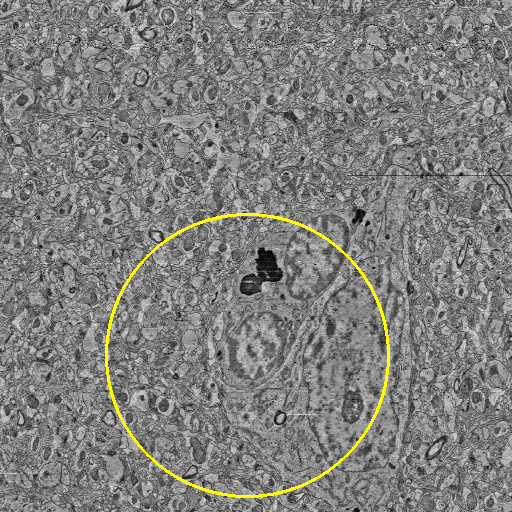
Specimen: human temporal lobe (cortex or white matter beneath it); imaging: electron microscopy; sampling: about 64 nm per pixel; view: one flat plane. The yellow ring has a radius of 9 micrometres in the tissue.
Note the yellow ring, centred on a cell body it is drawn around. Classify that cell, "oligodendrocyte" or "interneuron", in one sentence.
The cell the ring is centred on is an oligodendrocyte.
